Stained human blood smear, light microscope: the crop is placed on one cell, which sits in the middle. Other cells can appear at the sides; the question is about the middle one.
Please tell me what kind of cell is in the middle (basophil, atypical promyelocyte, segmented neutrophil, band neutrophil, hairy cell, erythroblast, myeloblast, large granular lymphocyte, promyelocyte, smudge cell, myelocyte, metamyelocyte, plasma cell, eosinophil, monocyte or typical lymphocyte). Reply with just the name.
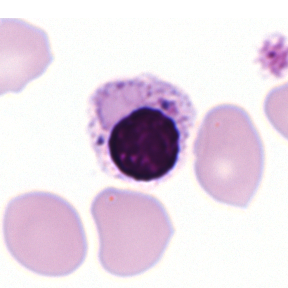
erythroblast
